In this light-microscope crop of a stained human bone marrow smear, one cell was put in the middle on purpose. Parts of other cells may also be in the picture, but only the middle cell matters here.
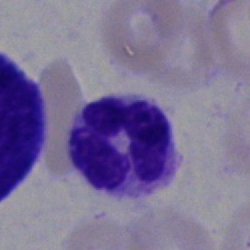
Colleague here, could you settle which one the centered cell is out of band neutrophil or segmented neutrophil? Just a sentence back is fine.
Standing at the centre of this crop is a segmented neutrophil.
